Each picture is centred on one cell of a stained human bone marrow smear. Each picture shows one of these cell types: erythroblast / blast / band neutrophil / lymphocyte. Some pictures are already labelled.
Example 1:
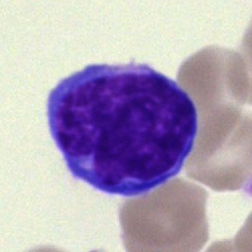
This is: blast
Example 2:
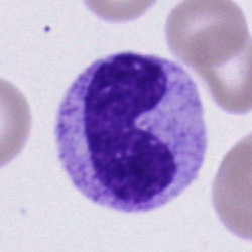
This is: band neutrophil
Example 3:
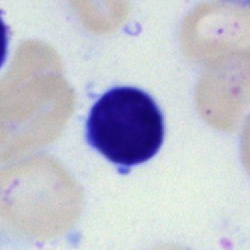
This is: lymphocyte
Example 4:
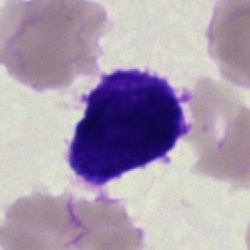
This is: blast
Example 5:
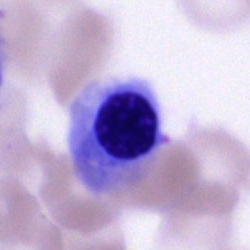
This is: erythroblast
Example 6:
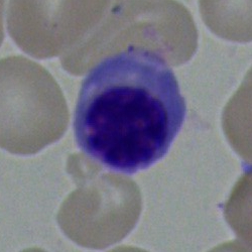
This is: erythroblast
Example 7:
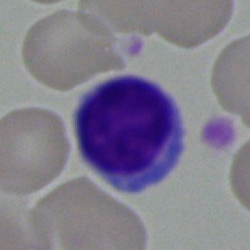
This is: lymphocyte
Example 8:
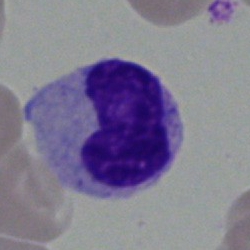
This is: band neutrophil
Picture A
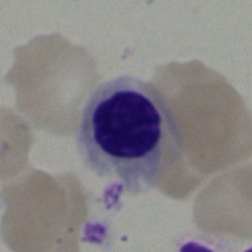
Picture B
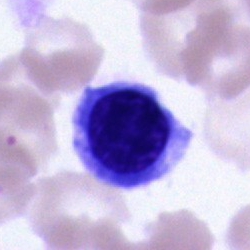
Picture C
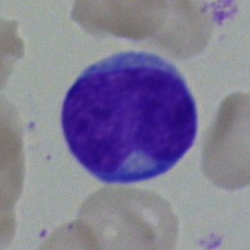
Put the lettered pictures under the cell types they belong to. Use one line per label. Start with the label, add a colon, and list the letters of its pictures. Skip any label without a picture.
erythroblast: A, B
blast: C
